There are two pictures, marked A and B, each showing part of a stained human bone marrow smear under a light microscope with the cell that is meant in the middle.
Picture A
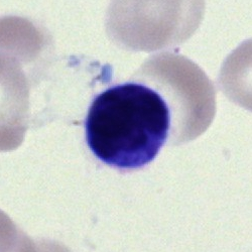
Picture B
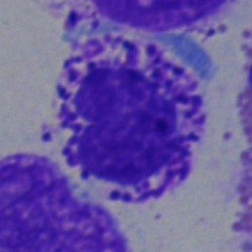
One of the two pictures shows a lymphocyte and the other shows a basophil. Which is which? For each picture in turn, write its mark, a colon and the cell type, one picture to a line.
A: lymphocyte
B: basophil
